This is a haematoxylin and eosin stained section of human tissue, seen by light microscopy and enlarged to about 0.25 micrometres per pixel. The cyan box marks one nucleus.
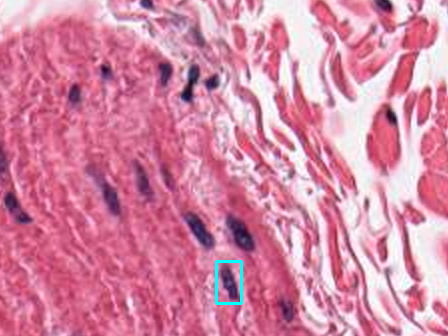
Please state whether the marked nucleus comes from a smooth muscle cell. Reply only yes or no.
yes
